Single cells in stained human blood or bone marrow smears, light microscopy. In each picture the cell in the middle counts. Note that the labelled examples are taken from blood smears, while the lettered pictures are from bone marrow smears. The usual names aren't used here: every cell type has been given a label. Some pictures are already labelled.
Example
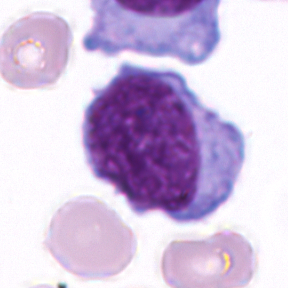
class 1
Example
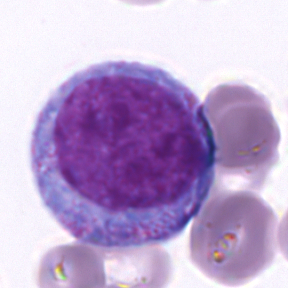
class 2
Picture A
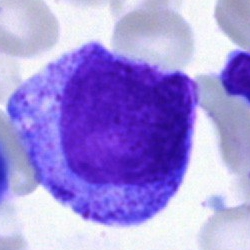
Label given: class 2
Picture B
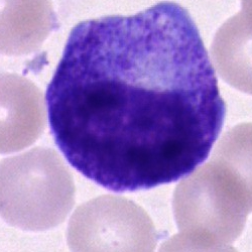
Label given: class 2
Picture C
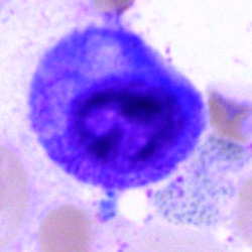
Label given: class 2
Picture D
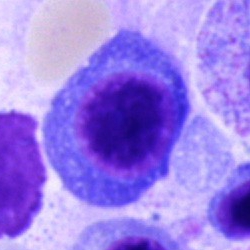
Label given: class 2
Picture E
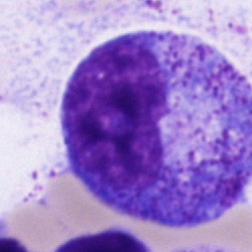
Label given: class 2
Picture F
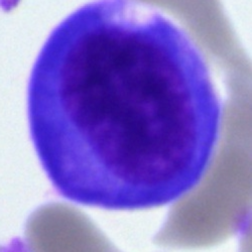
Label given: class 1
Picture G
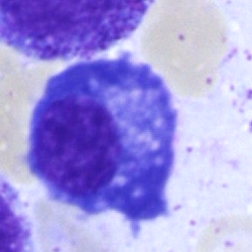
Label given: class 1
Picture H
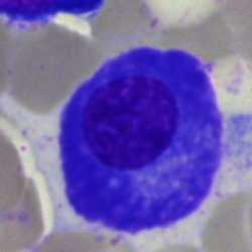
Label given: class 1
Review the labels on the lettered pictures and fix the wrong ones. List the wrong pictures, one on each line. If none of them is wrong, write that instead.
D: change class 2 to class 1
